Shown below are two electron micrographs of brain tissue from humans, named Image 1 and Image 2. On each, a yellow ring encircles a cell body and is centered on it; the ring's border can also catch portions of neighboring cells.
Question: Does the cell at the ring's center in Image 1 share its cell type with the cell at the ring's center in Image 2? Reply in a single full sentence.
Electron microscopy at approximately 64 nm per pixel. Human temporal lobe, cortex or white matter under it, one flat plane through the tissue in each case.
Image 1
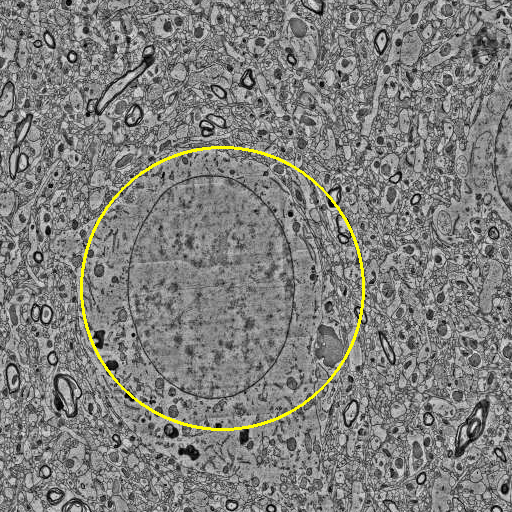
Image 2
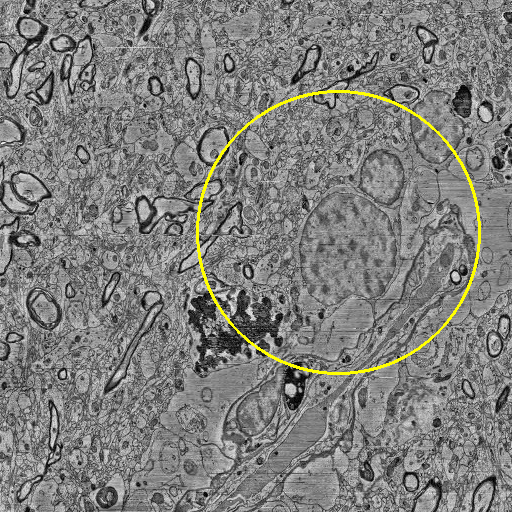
No, the two cells at the ring centers, in Image 1 and Image 2, are of two cell types.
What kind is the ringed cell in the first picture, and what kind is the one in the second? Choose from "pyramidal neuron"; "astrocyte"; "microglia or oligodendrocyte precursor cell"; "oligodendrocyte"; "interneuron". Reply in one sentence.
The first cell is a pyramidal neuron; the second is an oligodendrocyte.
